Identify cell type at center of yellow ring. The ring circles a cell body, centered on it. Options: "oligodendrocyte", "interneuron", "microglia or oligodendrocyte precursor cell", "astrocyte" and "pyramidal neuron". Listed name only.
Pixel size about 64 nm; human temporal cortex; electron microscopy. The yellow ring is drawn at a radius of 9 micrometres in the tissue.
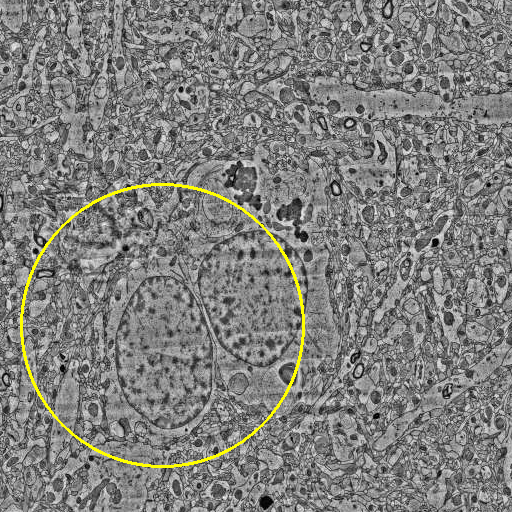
astrocyte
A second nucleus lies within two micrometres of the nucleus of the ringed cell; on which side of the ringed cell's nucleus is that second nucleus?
The other nucleus sits to the upper right of it.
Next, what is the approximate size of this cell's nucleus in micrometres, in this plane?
At approximately 10 by 6 micrometres, the nucleus is clearly longer than it is wide in this plane.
